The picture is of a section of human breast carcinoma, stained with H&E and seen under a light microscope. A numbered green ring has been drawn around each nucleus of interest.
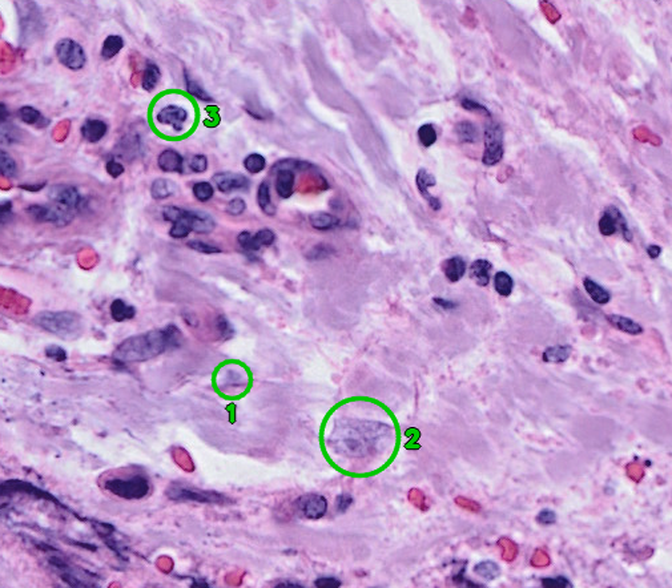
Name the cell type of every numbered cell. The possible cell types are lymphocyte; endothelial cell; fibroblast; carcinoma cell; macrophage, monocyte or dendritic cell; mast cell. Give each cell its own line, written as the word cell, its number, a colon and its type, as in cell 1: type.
cell 1: fibroblast
cell 2: fibroblast
cell 3: lymphocyte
